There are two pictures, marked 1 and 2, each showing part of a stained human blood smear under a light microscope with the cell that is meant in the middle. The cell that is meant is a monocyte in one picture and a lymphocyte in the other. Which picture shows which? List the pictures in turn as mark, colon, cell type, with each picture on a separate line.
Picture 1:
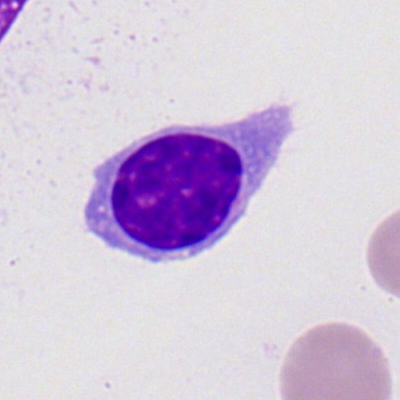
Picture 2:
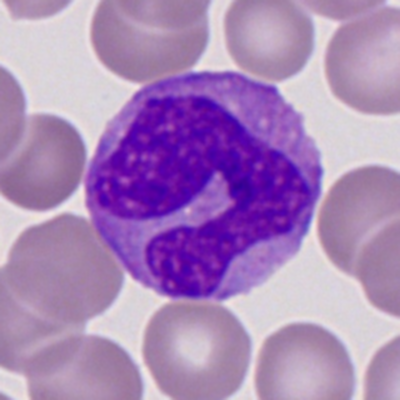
1: lymphocyte
2: monocyte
